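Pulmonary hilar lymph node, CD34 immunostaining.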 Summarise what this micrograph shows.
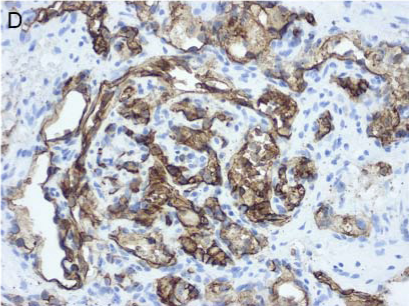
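Strong brown stain outlines the cells lining numerous small, closely set vascular channels, forming lobule-like clusters of capillaries. Blue-counterstained stromal nuclei lie between the clusters without staining. The stained lining cells are endothelial cells of the capillaries.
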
